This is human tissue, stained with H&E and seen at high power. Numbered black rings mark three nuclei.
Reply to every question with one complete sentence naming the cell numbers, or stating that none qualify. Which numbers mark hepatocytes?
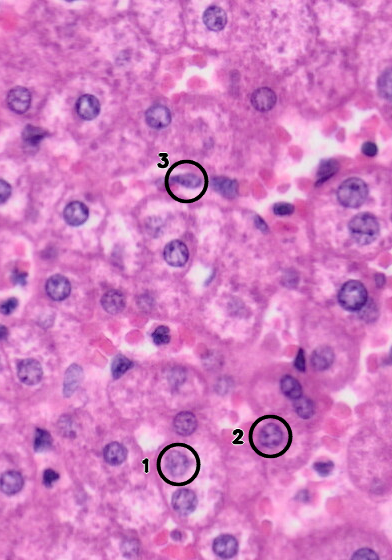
Identified as hepatocytes are the cells numbered 1 and 2.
